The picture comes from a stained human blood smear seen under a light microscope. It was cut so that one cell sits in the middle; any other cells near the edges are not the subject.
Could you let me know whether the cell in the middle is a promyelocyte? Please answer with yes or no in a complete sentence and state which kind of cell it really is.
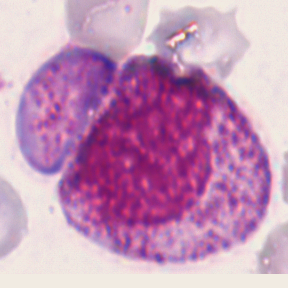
No, this one is a myelocyte; it is not a promyelocyte.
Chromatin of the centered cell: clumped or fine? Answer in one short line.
There is no coarse clumping; the chromatin stays fine throughout.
